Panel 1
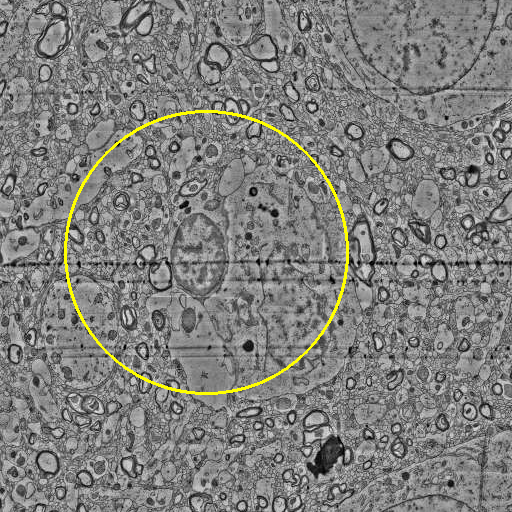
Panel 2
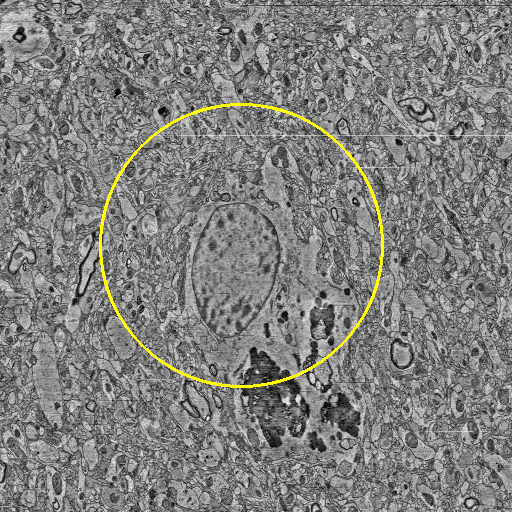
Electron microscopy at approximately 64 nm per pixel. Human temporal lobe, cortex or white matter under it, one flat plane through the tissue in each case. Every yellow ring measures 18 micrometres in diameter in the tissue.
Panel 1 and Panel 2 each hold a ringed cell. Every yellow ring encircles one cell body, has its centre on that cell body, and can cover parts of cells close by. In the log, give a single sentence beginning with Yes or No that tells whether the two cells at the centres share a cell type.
No, in Panel 1 and Panel 2 the centred cells are of two cell types.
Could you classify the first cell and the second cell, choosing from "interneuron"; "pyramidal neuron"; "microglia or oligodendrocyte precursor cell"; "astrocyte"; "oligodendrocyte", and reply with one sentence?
The second cell is an astrocyte, while the first is an oligodendrocyte.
